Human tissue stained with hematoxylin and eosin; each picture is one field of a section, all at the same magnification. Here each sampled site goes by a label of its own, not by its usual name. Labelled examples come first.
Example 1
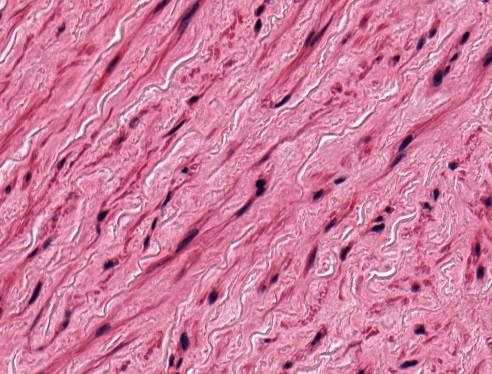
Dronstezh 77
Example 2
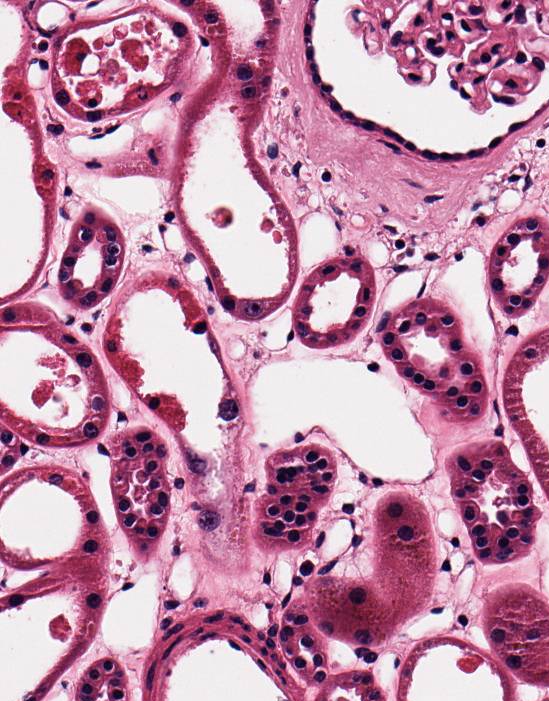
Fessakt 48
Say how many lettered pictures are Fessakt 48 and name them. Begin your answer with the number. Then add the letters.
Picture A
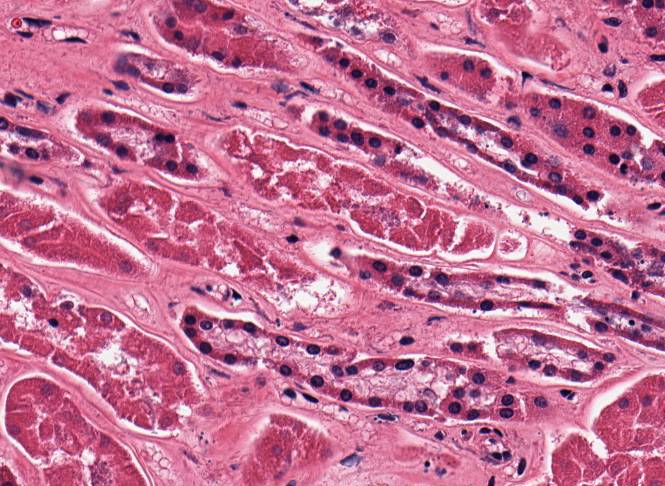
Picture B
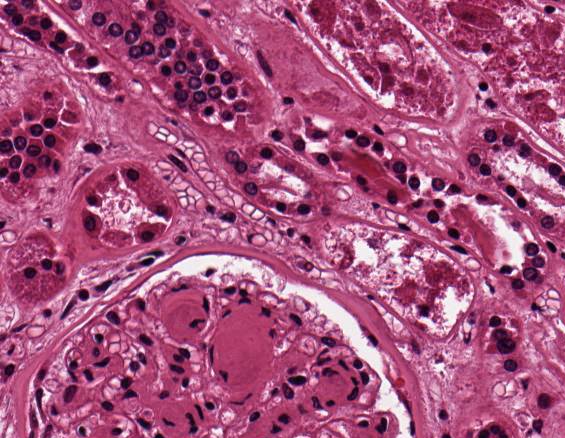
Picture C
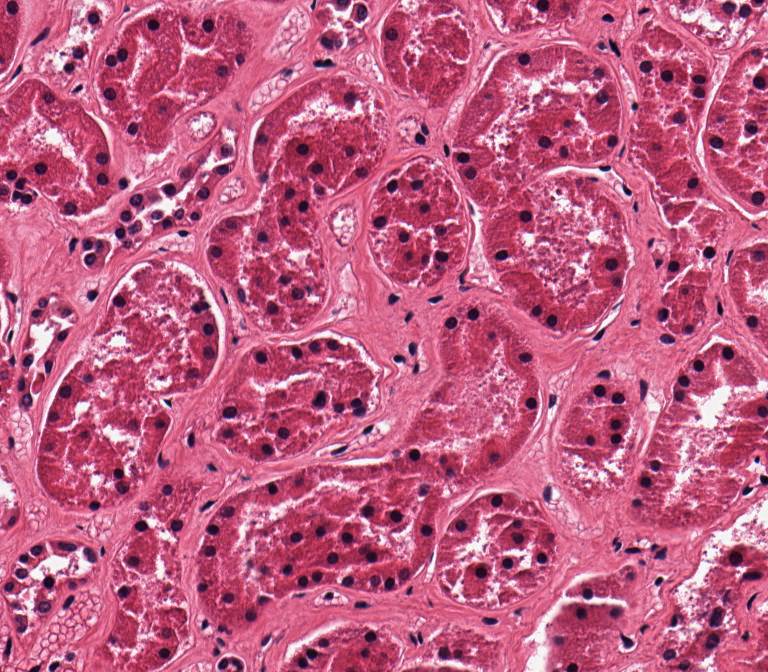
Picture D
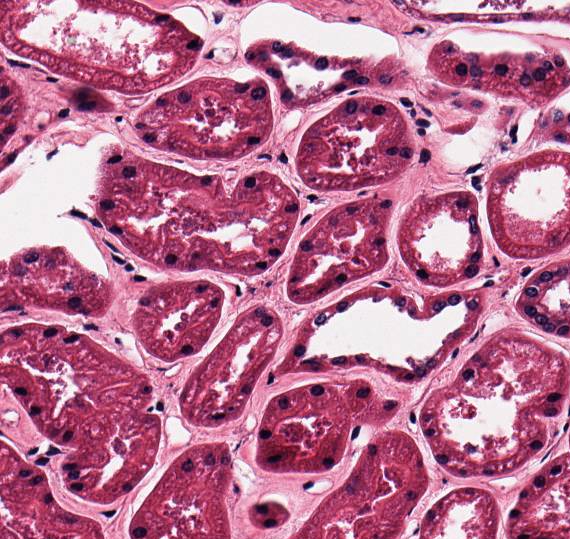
4: A, B, C, D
